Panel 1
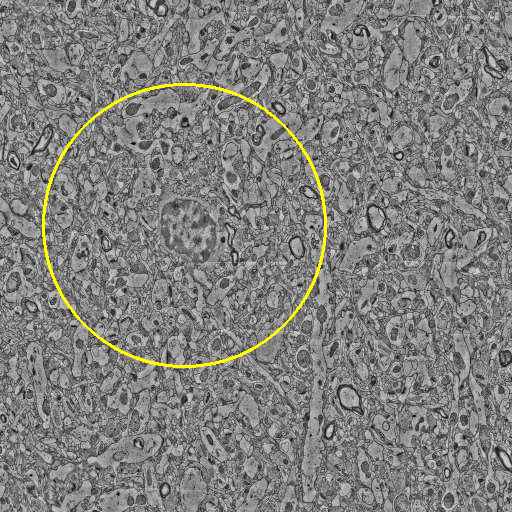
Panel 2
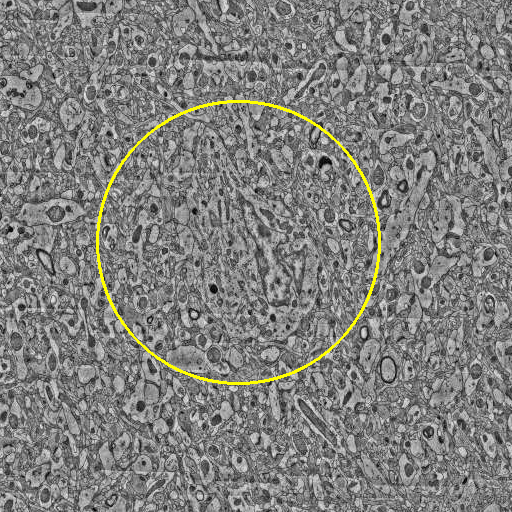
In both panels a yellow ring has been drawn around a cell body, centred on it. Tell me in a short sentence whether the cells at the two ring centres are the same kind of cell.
No, they are two kinds of cell.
